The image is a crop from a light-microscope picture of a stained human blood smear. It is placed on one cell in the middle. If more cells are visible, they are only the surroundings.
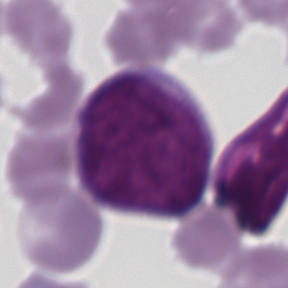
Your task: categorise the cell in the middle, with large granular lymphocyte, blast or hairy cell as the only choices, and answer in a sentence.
The cell occupying the middle of the crop is a blast.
